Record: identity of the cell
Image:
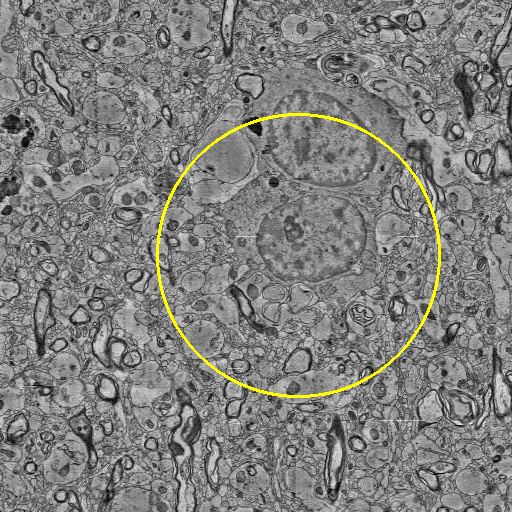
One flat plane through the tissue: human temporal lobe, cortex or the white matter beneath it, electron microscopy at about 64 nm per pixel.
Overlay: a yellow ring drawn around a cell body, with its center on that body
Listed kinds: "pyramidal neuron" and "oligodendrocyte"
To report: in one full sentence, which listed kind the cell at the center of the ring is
In the image, the cell body at the ring's center belongs to an oligodendrocyte.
